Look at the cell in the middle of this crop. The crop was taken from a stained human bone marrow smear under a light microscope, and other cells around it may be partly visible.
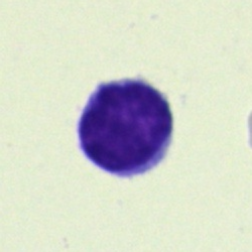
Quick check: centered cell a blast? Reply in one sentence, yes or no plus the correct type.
No, it is not a blast that lies in the middle but a lymphocyte.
